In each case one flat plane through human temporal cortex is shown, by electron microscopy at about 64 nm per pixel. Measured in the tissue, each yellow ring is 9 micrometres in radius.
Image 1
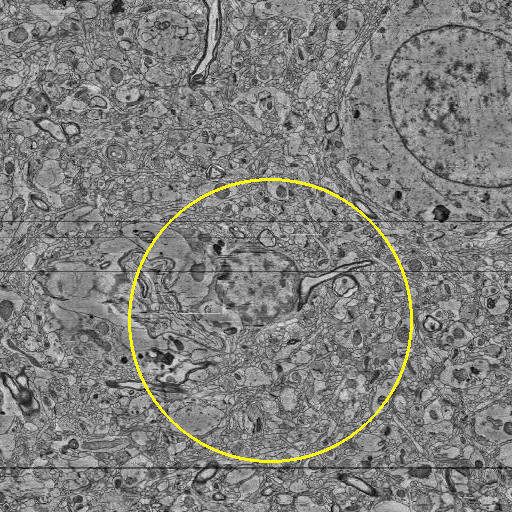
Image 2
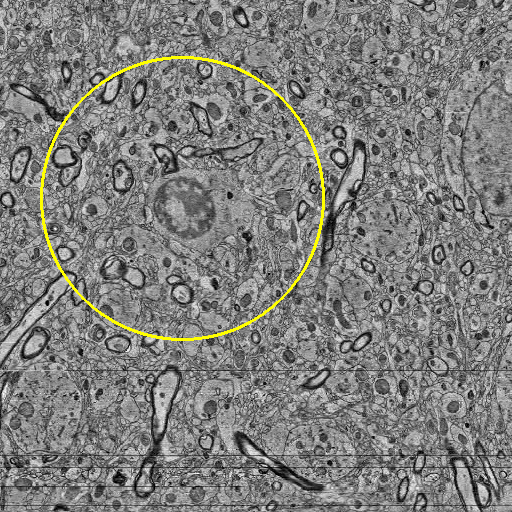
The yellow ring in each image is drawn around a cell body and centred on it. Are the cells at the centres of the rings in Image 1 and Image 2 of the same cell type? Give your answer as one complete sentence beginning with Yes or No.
Yes, both cells are of the same type.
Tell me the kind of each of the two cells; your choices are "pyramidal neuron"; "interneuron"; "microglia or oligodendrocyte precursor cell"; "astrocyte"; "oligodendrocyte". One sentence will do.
Each cell at the centre of a ring is an oligodendrocyte.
